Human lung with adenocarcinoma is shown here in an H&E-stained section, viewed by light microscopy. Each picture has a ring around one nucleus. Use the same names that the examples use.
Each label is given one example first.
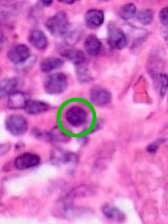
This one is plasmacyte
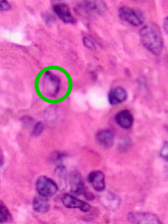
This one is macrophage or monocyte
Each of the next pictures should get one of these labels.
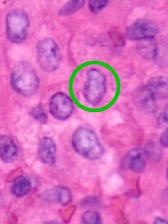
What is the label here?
macrophage or monocyte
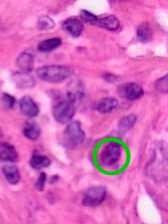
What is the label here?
plasmacyte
